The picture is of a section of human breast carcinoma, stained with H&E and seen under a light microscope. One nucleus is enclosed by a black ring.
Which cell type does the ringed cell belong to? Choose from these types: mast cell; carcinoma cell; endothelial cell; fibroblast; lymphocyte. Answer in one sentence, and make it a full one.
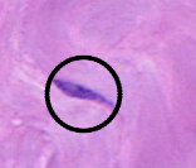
With respect to cell type, the ringed cell is a fibroblast.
